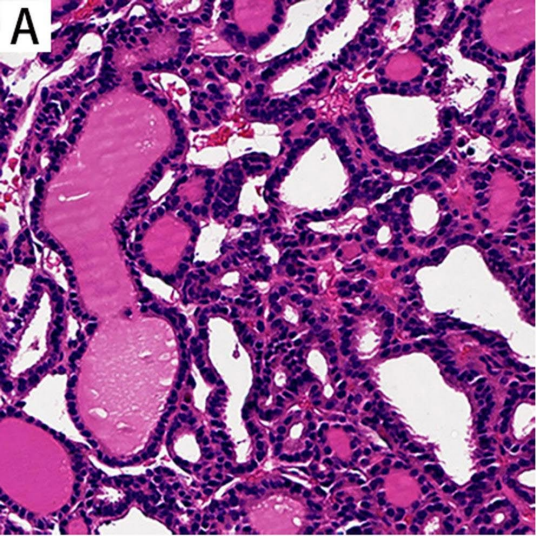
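Thyroid tissue composed of follicles of varying size and shape, many filled with homogeneous pink colloid and some appearing empty. The follicles are lined by a single layer of cuboidal to flattened epithelial cells with dark round nuclei and scant cytoplasm. Thin fibrovascular stroma with red blood cells separates the follicles.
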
